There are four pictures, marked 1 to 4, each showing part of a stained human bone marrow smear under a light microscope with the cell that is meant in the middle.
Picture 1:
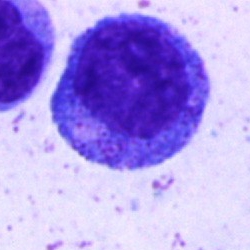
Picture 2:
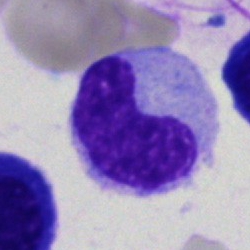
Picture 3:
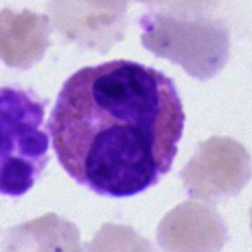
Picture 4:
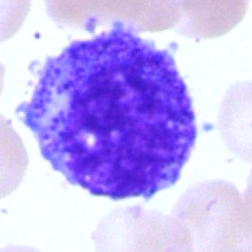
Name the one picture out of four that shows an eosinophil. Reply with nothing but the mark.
3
